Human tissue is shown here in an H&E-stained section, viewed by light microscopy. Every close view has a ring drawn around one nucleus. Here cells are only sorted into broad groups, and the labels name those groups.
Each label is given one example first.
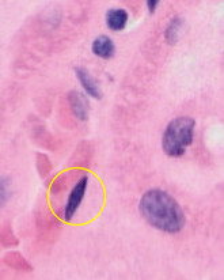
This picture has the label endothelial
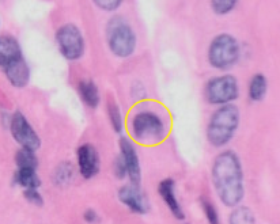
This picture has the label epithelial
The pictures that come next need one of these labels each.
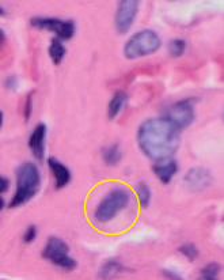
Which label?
epithelial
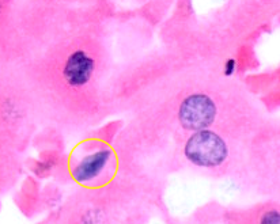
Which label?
endothelial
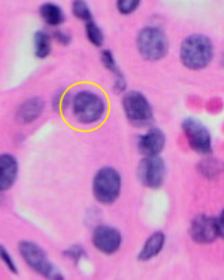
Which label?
epithelial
